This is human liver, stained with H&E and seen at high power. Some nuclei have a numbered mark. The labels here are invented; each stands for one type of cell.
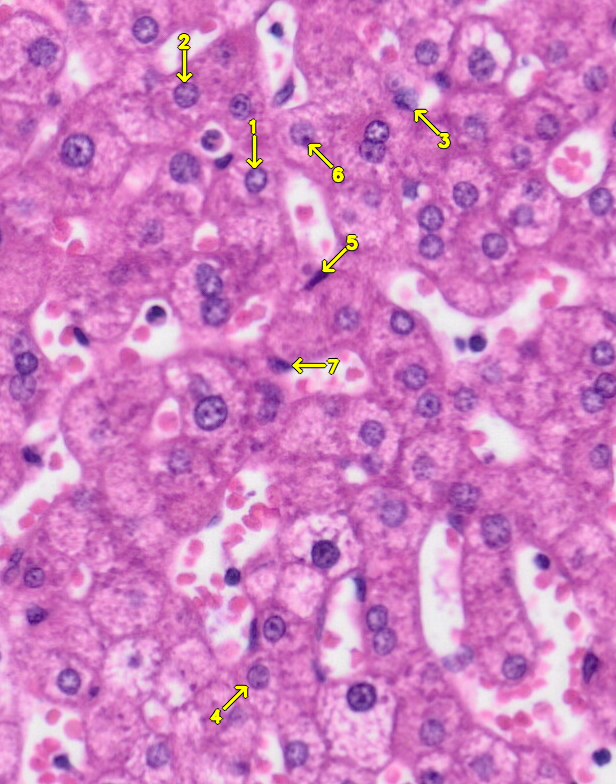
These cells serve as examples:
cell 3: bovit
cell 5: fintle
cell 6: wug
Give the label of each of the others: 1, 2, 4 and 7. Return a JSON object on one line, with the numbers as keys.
{"1": "wug", "2": "wug", "4": "wug", "7": "fintle"}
